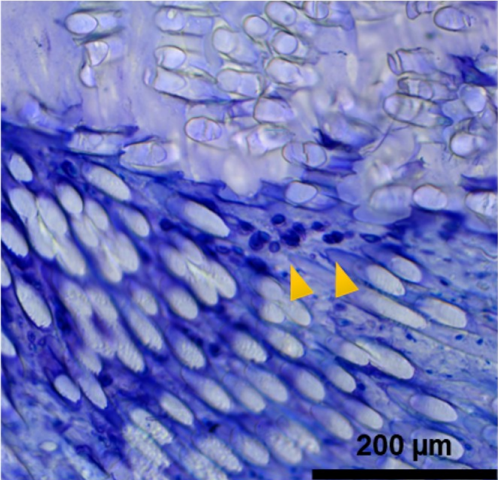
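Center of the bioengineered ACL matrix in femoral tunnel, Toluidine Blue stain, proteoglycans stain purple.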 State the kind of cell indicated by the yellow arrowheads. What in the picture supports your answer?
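Small rounded dark-stained cells lie among pale oval fibre profiles. The cells sit in blue-purple matrix between the fibres.
Conclusion: chondrocyte-like cells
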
